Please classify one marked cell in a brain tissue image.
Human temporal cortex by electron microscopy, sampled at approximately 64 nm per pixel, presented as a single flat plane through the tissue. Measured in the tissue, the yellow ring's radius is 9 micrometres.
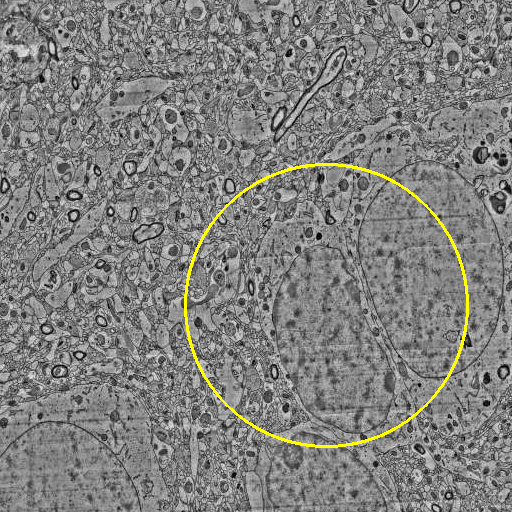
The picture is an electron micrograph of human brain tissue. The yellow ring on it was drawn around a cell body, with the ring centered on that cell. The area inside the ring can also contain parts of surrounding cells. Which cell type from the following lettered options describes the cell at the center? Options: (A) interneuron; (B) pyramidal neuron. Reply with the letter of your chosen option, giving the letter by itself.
A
